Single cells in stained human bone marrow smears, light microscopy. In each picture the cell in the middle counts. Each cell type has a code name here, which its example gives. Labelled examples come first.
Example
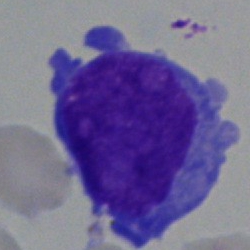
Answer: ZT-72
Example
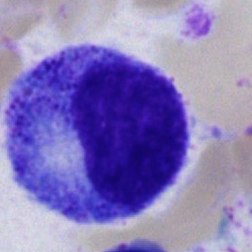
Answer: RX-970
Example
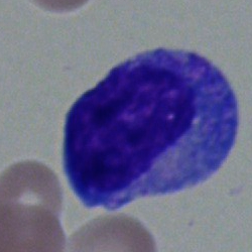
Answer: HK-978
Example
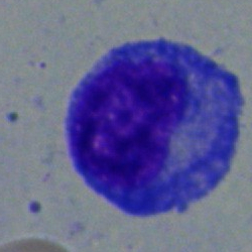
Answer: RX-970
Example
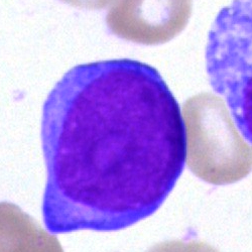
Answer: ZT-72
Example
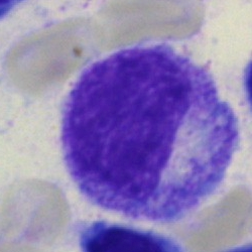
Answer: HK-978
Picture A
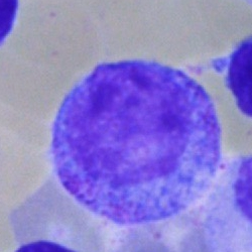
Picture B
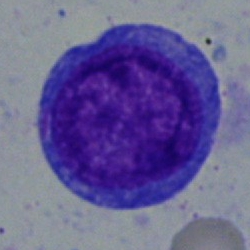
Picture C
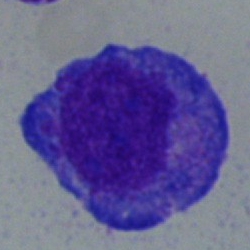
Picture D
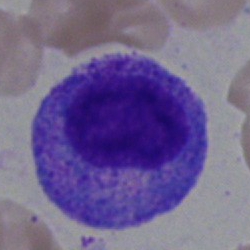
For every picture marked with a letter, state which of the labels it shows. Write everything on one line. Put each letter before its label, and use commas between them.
A RX-970, B ZT-72, C RX-970, D HK-978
